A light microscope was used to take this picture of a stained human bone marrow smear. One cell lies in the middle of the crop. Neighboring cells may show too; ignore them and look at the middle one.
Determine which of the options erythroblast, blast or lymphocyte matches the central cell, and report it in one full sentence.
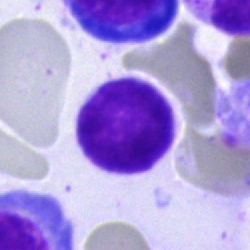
Where the crop is centred, there is a lymphocyte.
